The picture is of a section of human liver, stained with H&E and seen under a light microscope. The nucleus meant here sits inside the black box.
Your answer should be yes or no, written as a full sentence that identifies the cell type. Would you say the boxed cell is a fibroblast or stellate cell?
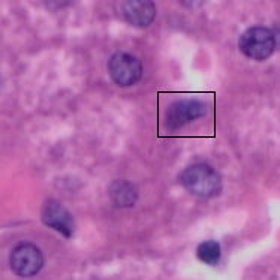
Yes, regarding cell type, the boxed cell is a fibroblast or stellate cell.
